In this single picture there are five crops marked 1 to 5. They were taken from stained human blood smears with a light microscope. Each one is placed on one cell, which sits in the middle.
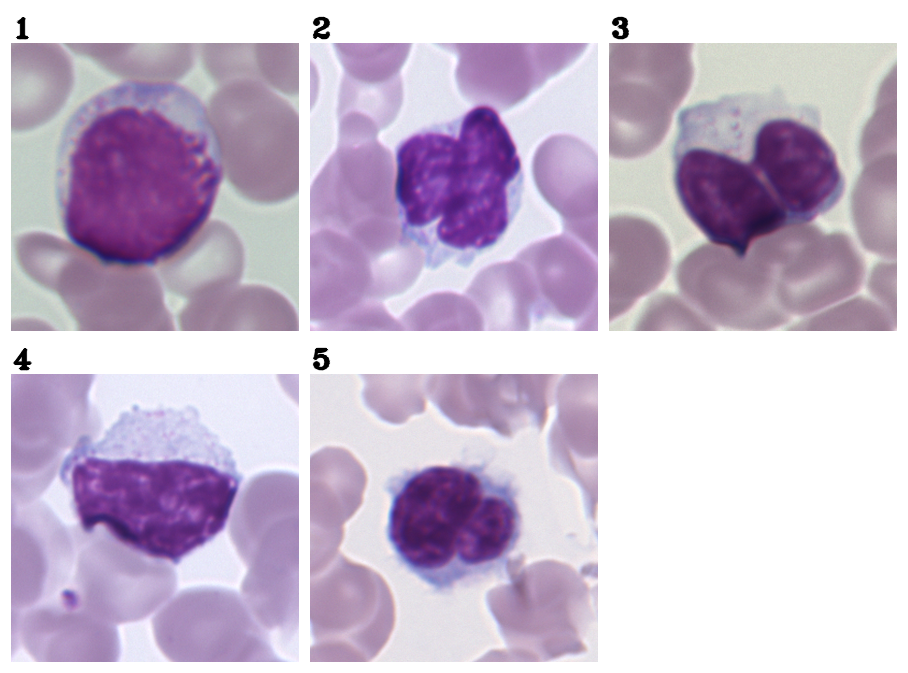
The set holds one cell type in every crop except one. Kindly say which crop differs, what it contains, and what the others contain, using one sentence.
All the crops contain large granular lymphocytes save crop 5, where there is a hairy cell.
